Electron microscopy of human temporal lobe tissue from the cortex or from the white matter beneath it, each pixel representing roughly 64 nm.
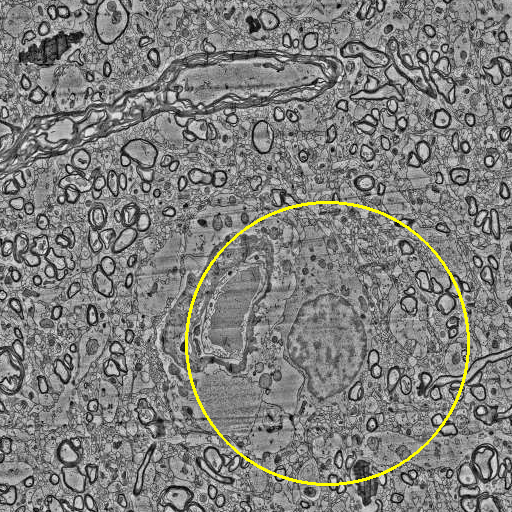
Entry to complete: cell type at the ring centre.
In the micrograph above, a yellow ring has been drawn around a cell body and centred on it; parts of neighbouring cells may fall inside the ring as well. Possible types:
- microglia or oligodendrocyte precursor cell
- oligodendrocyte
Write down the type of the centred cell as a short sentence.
The ring is centred on an oligodendrocyte.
